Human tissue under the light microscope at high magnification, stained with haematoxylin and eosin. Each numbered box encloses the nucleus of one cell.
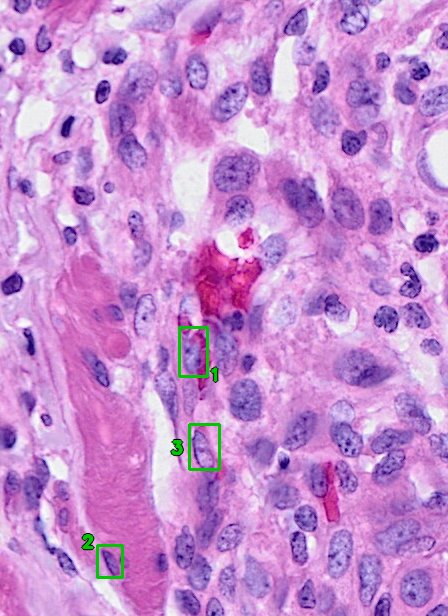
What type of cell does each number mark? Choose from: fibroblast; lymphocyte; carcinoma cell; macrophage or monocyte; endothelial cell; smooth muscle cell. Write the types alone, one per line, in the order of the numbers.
endothelial cell
smooth muscle cell
endothelial cell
